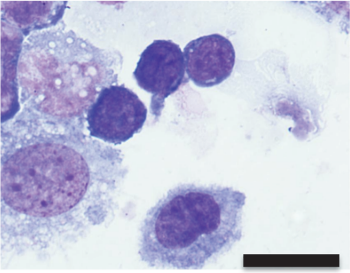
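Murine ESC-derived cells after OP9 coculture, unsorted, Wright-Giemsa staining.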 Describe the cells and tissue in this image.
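A cluster of small round cells has compact, deeply purple nuclei and little cytoplasm. Next to them are much larger cells with big, paler pink-purple oval nuclei that show visible nucleoli. These larger cells also have broad cytoplasm that is foamy and vacuolated in places. The two kinds of cell differ clearly in size and in how dark their nuclei stain.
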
